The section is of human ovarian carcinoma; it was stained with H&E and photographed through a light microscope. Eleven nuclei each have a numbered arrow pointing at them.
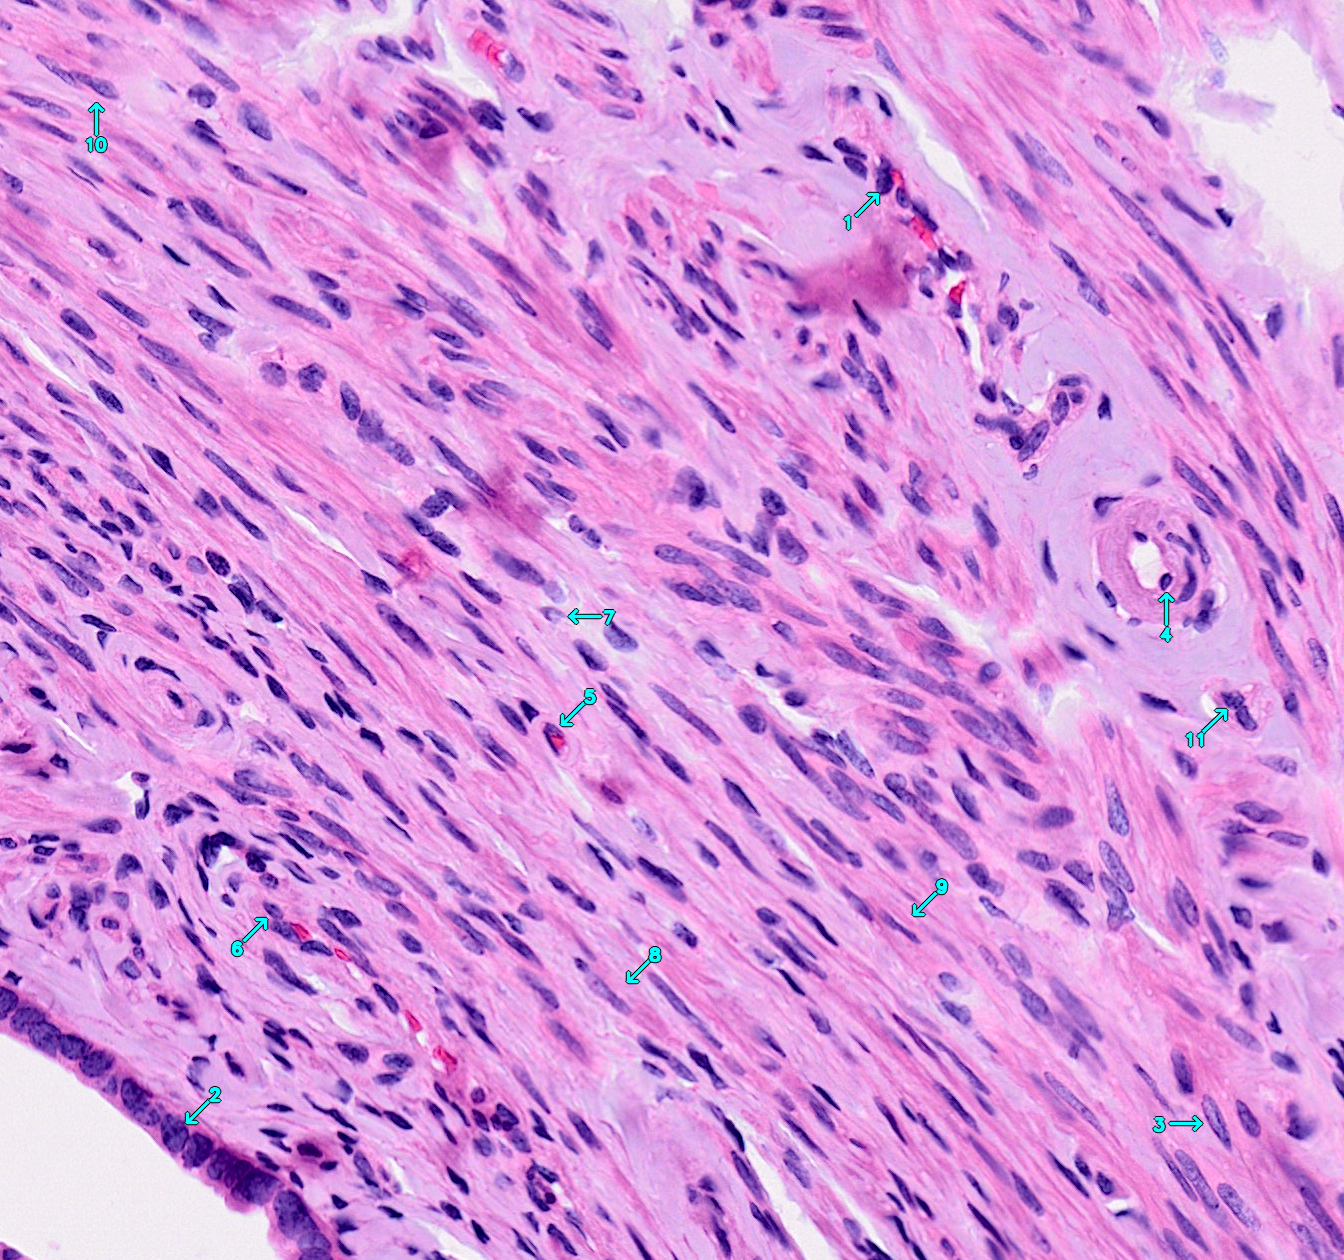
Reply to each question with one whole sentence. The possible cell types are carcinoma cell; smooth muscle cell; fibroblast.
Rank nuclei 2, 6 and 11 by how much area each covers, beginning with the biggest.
By area, largest first, they run 2, 11, 6.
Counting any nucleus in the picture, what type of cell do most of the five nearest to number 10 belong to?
Smooth muscle cells account for more than half of the five nuclei nearest to number 10.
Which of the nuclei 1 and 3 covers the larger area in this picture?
Nucleus 3 is larger, with an area about 2.5 times that of nucleus 1.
